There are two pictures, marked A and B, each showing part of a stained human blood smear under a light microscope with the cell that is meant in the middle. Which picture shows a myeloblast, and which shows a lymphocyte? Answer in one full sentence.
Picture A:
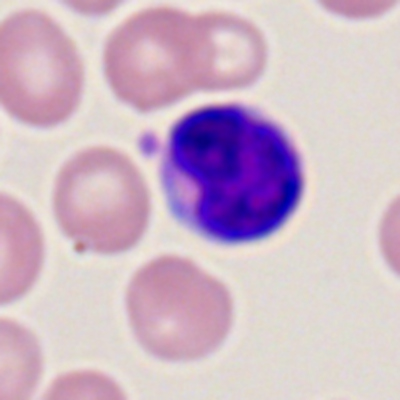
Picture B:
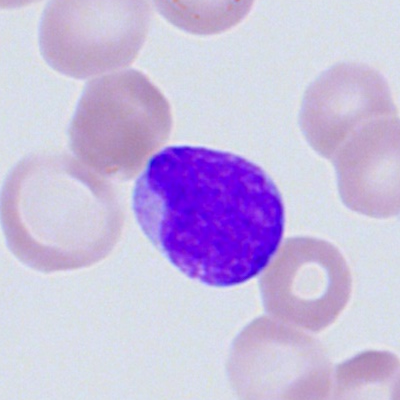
It is picture A that shows a lymphocyte, and picture B that shows a myeloblast.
